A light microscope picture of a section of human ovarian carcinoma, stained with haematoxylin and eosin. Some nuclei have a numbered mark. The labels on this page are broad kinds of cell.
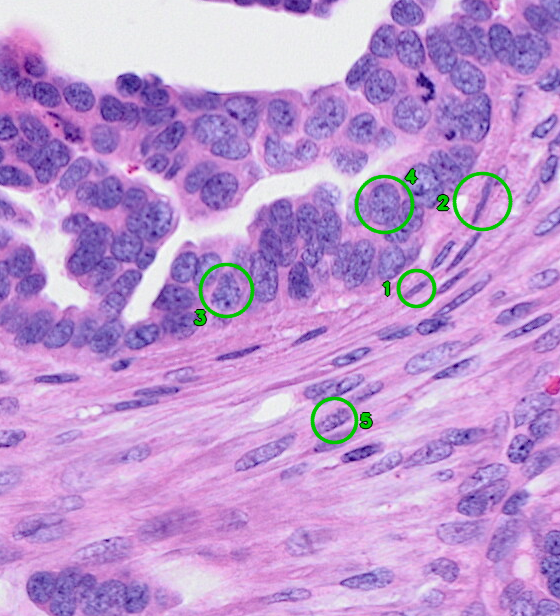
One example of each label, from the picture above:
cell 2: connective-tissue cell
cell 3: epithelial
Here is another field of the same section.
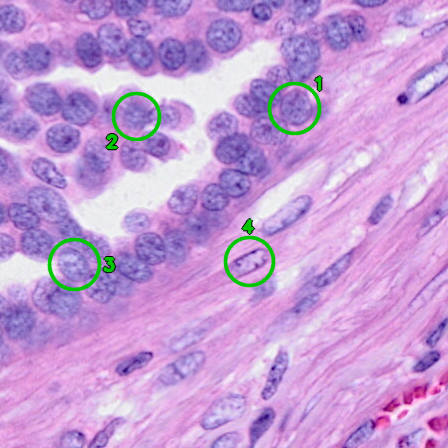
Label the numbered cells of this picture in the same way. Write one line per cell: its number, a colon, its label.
1: epithelial
2: epithelial
3: epithelial
4: connective-tissue cell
